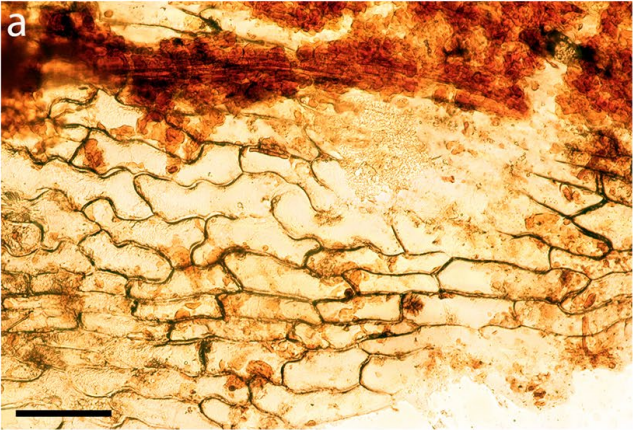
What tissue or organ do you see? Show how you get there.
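A single flat layer of tightly fitting cells seen from above. No intercellular spaces between the cells. Cells are elongated and arranged in rows. On this evidence: Epidermis.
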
